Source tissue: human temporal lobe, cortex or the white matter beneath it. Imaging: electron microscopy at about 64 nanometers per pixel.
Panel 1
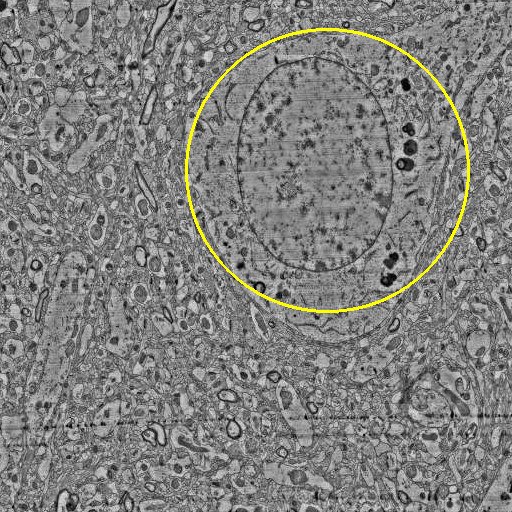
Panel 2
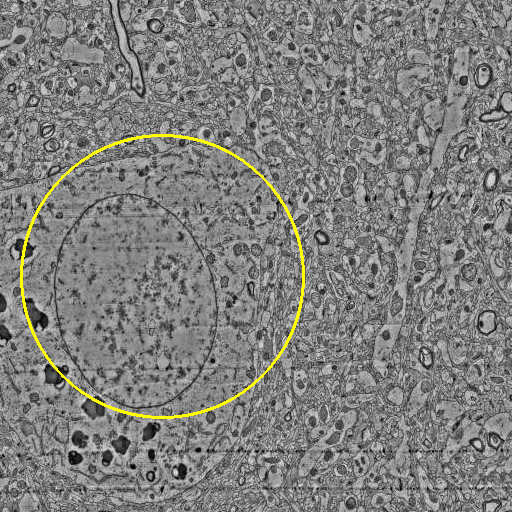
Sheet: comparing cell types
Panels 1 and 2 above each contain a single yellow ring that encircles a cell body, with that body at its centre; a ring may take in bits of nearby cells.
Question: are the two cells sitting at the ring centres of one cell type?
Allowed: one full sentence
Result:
Yes, the ring-centre cells in Panel 1 and Panel 2 are of one type.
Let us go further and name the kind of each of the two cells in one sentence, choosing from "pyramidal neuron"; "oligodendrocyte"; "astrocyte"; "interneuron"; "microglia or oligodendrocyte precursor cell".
Each of the two cells is a pyramidal neuron.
